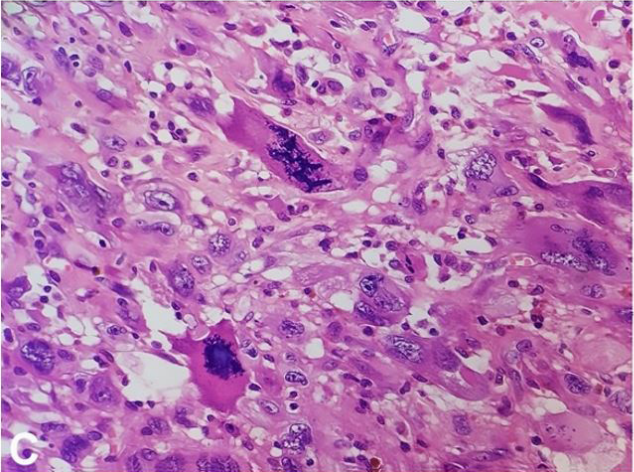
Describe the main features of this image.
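Loosely arranged large tumor cells lie in a pale pink, partly vacuolated background with scattered small round inflammatory cells. Their nuclei differ strikingly in size and shape, some being very large with coarse chromatin and distinct nucleoli. Two cells hold irregular, dark purple clumps of condensed chromatin that do not form an orderly plate. The cytoplasm is abundant and pink, and some cells are elongated. This is a malignant tumor with marked nuclear pleomorphism and atypical mitotic figures.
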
